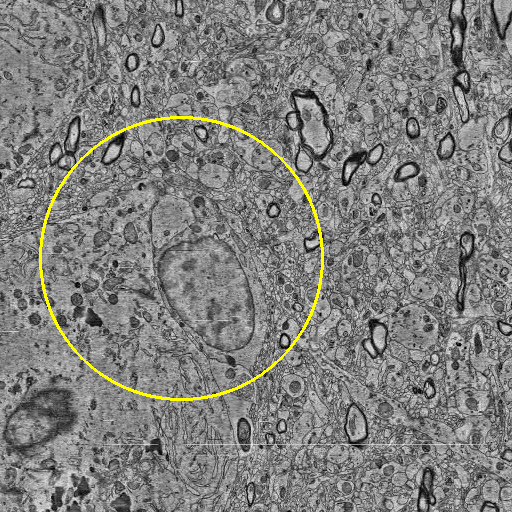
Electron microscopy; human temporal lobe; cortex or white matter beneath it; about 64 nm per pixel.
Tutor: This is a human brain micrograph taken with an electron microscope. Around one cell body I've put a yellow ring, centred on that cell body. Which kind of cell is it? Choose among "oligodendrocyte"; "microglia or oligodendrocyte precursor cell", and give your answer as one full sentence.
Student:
Going by your list, the cell centred in the yellow ring is an oligodendrocyte.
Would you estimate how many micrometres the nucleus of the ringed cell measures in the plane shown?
The nucleus is approximately 8 micrometers long by 5 micrometers wide in this plane.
